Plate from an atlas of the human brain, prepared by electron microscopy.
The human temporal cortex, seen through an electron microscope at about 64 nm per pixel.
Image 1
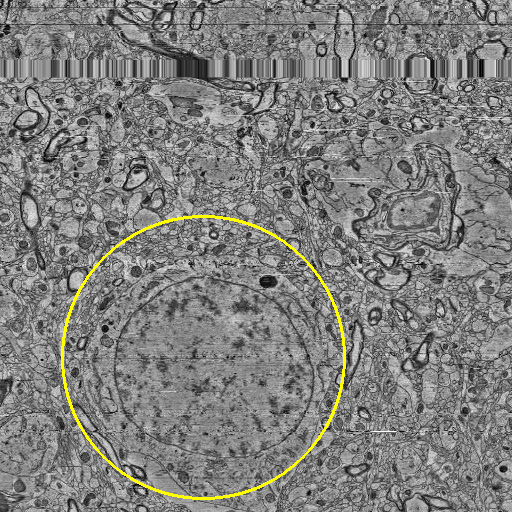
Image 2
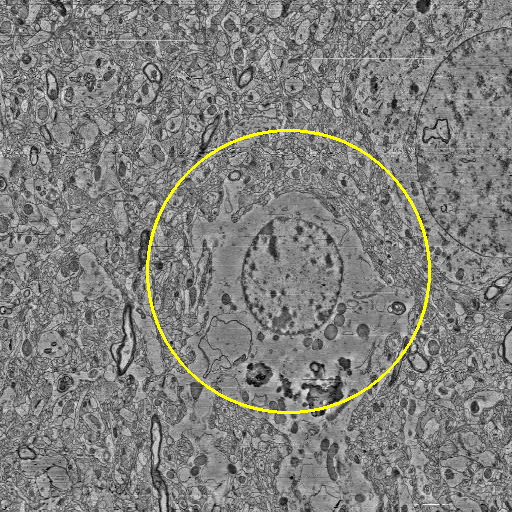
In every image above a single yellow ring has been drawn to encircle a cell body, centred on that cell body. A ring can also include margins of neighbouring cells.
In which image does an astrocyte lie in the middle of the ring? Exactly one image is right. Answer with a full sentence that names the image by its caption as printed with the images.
Image 2 holds the requested cell at the very centre of its ring.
